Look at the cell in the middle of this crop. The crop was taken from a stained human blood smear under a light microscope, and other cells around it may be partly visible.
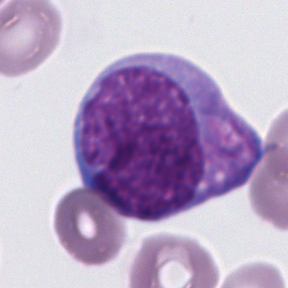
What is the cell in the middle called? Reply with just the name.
atypical promyelocyte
